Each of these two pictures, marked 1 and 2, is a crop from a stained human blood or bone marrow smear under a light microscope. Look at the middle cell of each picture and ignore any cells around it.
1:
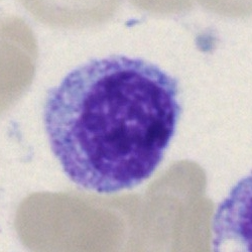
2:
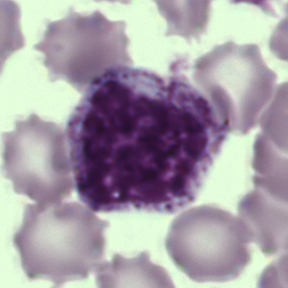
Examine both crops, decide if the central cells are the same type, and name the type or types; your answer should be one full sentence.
Yes, both crops show myelocytes, and the two match.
